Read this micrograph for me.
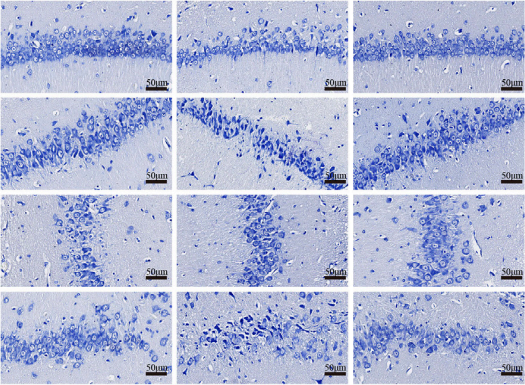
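Hippocampal pyramidal cell layers stained blue on a pale background, in a grid of fields from four subfields. Each field shows a band of neurons whose cytoplasm stains blue, leaving paler round nuclei, with a pyramidal or triangular shape and processes extending into the surrounding pale neuropil. In the first subfield the band is narrow and compact; in others it is broader and looser with larger cell bodies. In some fields many neurons appear darker, shrunken and elongated, with densely stained, angular bodies, while in others the cells are plumper with clear nuclei and evenly stained cytoplasm.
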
